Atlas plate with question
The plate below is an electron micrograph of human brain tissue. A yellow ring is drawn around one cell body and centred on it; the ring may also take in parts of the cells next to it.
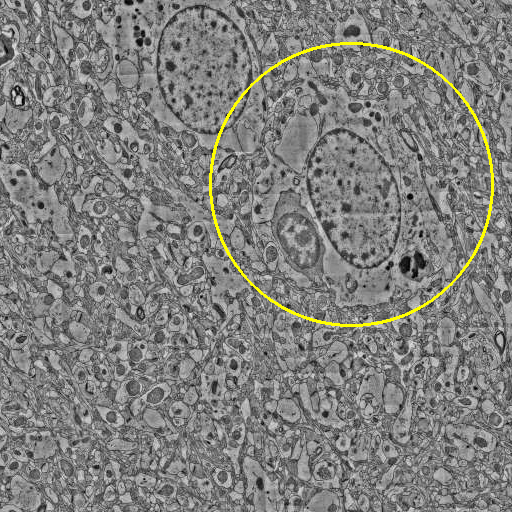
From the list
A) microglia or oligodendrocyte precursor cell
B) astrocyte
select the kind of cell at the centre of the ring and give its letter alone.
B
